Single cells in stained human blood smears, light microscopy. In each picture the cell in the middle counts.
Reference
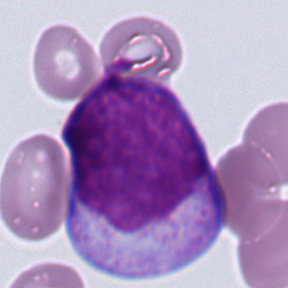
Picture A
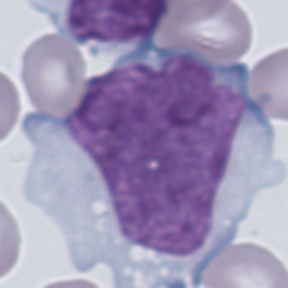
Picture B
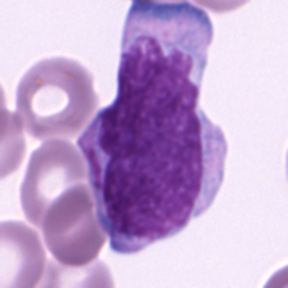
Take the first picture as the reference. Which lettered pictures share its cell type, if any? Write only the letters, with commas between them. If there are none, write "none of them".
B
